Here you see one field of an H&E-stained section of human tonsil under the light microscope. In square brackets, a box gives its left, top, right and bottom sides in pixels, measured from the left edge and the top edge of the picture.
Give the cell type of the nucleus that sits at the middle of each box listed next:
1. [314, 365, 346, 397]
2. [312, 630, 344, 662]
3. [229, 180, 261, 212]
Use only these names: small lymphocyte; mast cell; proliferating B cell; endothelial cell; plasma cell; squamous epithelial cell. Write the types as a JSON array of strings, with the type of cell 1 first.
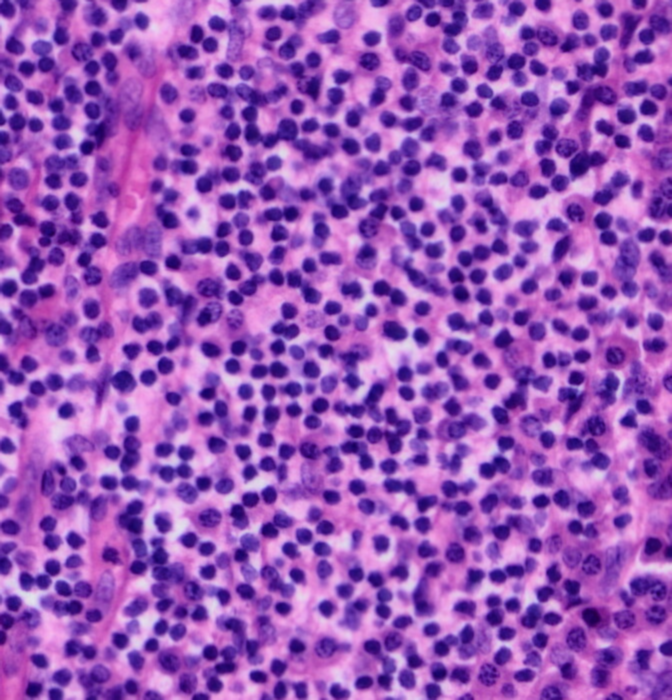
["small lymphocyte", "plasma cell", "small lymphocyte"]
